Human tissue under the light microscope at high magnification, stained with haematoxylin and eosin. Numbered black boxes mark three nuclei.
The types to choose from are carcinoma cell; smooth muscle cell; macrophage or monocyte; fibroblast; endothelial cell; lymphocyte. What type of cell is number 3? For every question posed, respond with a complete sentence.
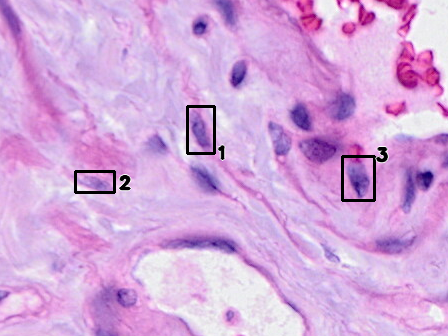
It is as an endothelial cell that the cell numbered 3 is identified.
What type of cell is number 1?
Classified as a smooth muscle cell is the cell with the number 1.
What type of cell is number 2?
To a smooth muscle cell belongs the nucleus marked 2.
